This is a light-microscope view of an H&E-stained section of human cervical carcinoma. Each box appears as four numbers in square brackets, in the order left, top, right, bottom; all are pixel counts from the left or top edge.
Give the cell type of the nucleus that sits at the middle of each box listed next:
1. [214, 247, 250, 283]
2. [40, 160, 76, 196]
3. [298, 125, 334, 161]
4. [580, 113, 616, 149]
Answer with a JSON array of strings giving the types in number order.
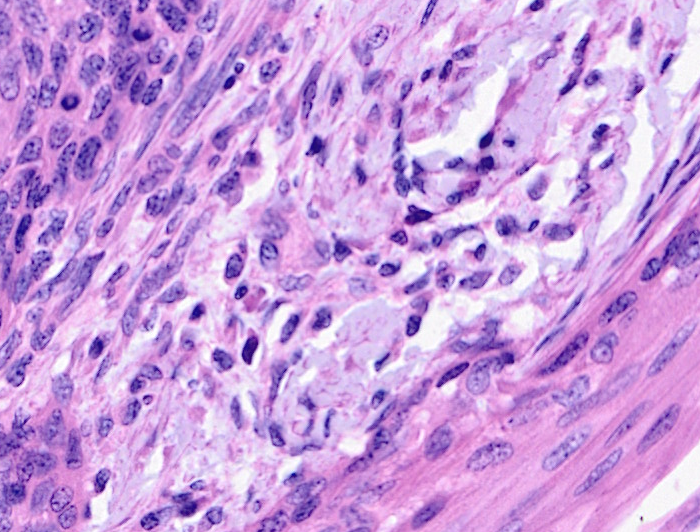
["lymphocyte", "squamous carcinoma cell", "lymphocyte", "lymphocyte"]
